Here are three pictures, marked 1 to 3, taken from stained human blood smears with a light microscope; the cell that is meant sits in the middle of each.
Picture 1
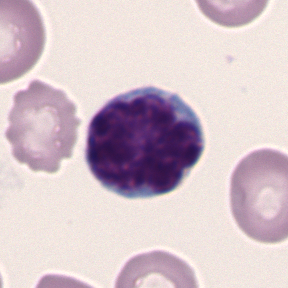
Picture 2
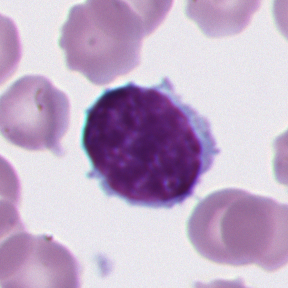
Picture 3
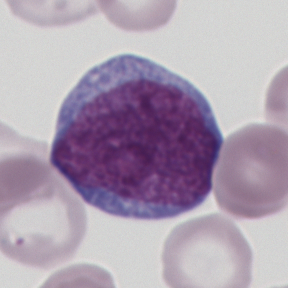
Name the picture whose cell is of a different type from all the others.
3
